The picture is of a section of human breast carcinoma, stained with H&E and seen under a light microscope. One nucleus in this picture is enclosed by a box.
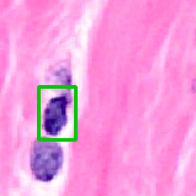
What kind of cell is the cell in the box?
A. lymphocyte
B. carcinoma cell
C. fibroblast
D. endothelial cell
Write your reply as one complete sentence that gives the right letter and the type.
Option A is correct; the cell in the box is a lymphocyte.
